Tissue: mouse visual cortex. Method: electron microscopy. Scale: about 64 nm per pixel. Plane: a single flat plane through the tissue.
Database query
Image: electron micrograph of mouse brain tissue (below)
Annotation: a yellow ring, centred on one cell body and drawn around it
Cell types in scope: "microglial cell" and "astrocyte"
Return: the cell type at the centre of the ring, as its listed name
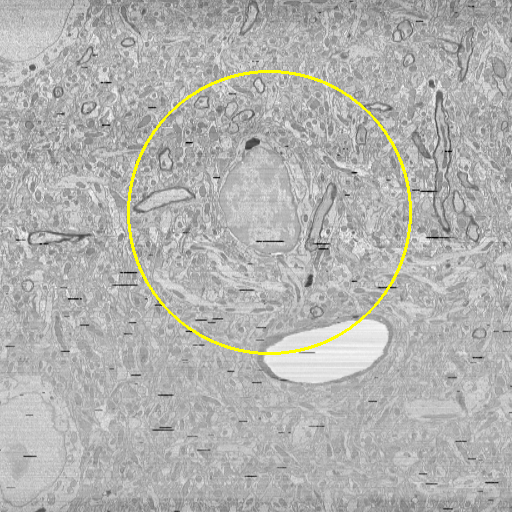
microglial cell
